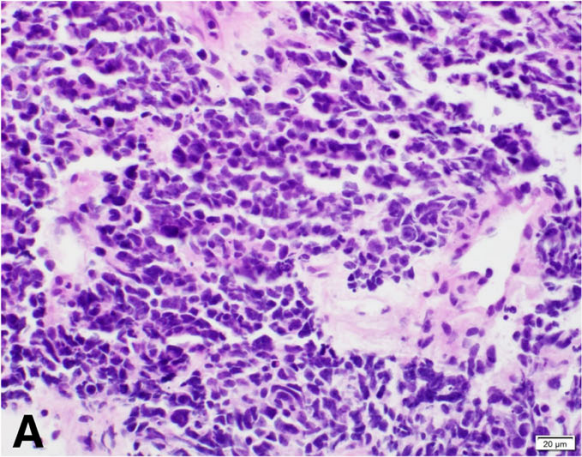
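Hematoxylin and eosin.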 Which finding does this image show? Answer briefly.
sheets of pleomorphic round cells with hyperchromatic nuclei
